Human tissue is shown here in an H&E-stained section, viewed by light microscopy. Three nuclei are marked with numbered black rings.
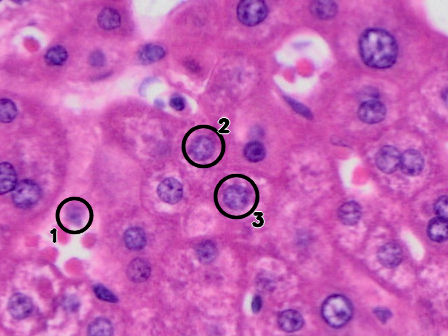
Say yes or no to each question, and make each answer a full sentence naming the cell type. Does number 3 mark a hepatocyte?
Yes, exactly, the cell numbered 3 is a hepatocyte.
